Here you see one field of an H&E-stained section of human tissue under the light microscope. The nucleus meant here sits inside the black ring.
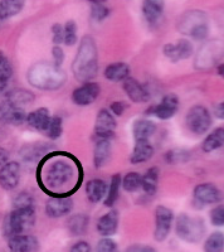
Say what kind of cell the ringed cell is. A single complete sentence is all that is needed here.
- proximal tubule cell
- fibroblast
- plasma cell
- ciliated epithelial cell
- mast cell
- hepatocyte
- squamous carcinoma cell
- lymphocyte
Microscopically, the ringed cell is categorized as a plasma cell.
